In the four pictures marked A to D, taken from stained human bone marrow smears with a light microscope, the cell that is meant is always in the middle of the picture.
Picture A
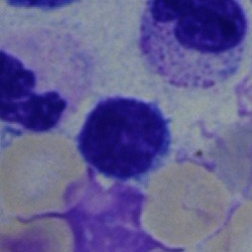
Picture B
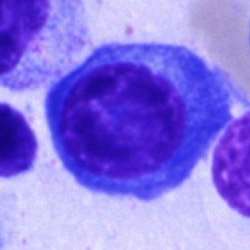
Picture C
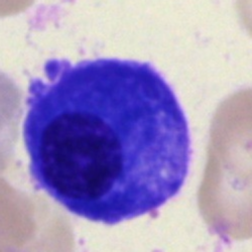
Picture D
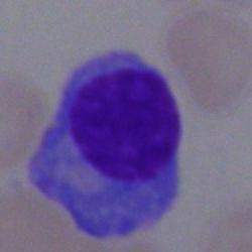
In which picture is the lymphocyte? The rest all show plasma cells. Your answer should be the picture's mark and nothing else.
A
